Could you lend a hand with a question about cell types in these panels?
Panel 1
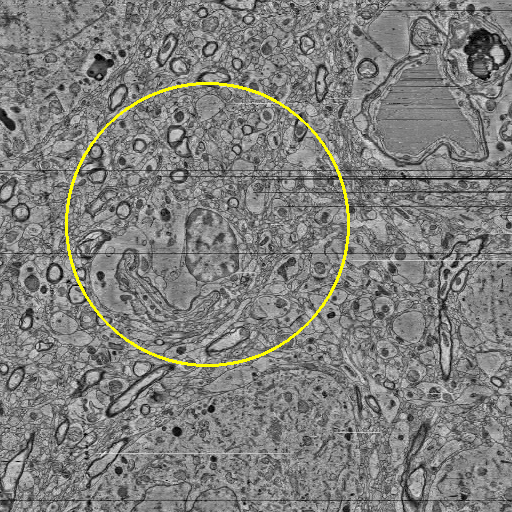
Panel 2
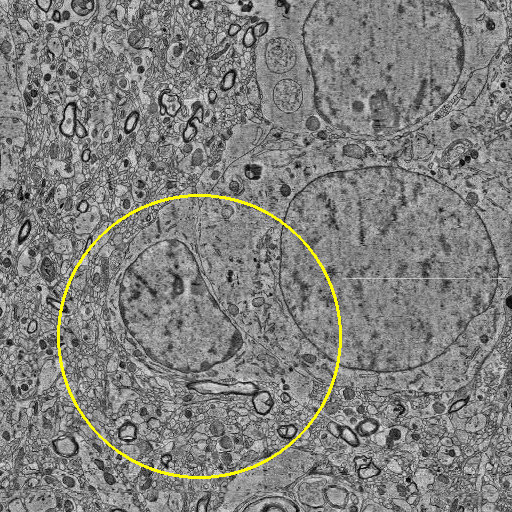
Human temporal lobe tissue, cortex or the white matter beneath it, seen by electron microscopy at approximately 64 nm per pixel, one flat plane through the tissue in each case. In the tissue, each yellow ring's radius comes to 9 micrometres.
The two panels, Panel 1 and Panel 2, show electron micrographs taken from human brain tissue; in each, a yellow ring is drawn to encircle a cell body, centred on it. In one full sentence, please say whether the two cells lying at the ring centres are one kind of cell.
Yes, the cells at the ring centres in the two panels are one kind of cell.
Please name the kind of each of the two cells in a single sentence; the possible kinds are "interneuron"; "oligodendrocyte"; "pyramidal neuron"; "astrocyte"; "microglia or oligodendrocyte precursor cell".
Each of the ringed cells, first and second, is a microglial cell or oligodendrocyte precursor cell.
